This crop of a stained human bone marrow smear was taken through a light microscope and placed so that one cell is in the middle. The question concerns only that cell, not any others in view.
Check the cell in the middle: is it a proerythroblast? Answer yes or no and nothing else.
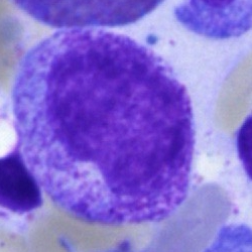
no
